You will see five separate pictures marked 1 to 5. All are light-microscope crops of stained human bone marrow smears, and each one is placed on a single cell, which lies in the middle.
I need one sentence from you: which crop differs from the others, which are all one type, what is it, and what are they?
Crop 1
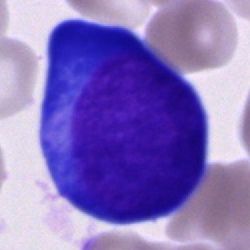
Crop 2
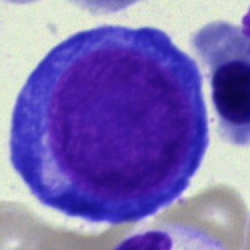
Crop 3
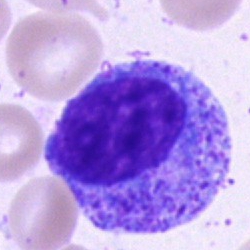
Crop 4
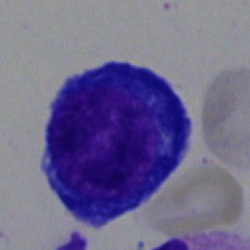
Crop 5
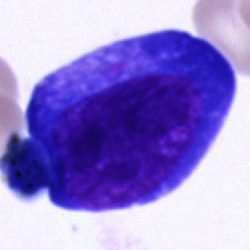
The remaining crops are all proerythroblasts, so crop 3, being a promyelocyte, is the exception.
